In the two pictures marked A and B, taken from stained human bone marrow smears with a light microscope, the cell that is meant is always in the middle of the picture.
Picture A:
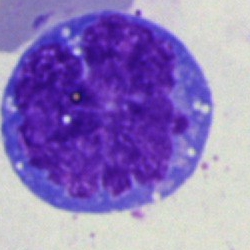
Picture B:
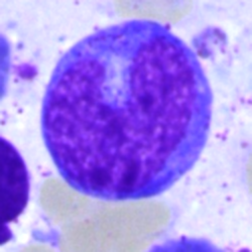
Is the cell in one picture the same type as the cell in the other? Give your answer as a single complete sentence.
Yes, both are monocytes.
